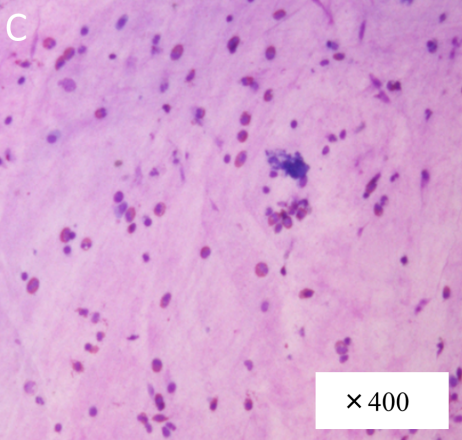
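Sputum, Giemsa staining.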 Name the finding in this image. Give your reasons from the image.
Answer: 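Scattered small cells with purple nuclei lie in a pale pink, streaky mucus background. A small cluster of cells with lobed nuclei sits near the centre.
Hence: eosinophilia.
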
